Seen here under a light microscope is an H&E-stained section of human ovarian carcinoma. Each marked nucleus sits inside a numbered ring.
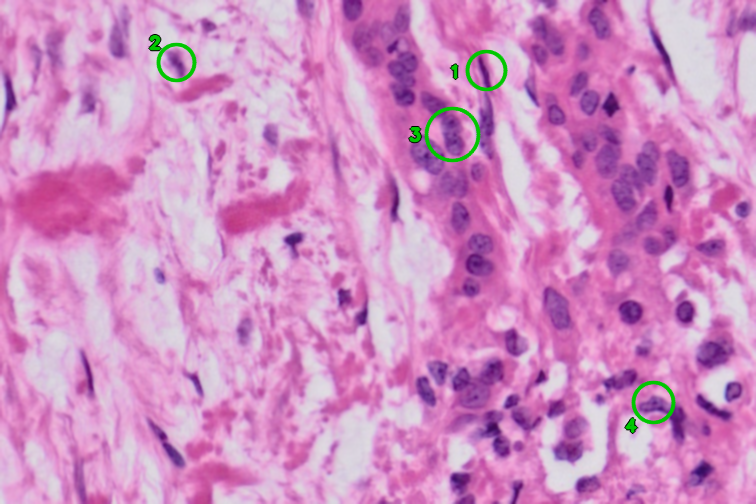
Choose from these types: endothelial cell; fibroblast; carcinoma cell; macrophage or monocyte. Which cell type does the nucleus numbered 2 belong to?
fibroblast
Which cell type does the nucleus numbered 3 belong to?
carcinoma cell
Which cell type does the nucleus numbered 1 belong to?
fibroblast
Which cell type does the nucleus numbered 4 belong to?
macrophage or monocyte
